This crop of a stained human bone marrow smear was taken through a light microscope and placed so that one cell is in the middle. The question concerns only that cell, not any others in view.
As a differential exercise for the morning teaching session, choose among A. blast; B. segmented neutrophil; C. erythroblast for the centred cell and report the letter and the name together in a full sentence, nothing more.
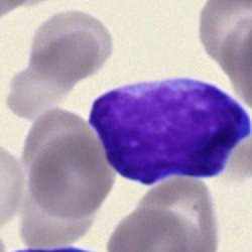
Option A is correct in that the central cell is a blast.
